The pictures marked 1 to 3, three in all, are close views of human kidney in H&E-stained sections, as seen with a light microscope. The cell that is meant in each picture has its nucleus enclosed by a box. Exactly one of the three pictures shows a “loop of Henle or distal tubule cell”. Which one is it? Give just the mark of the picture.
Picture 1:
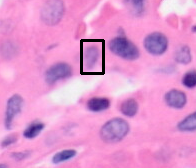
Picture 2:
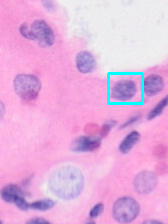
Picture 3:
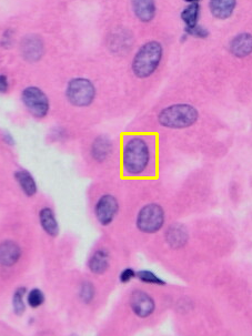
2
